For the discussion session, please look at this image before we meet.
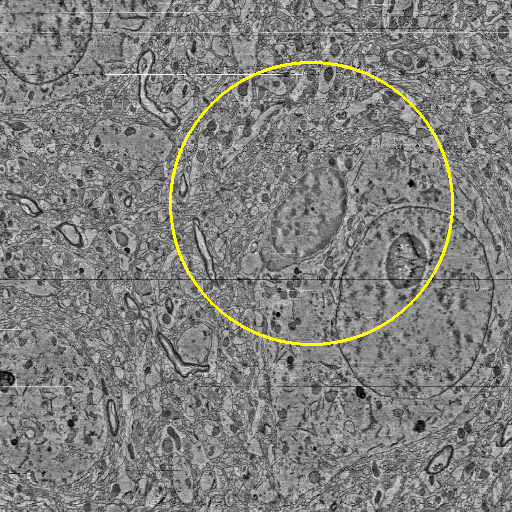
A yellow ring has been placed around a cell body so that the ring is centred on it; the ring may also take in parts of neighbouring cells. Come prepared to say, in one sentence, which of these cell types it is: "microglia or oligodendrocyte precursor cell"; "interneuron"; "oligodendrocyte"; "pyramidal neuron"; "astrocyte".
The cell centred in the ring is an oligodendrocyte.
